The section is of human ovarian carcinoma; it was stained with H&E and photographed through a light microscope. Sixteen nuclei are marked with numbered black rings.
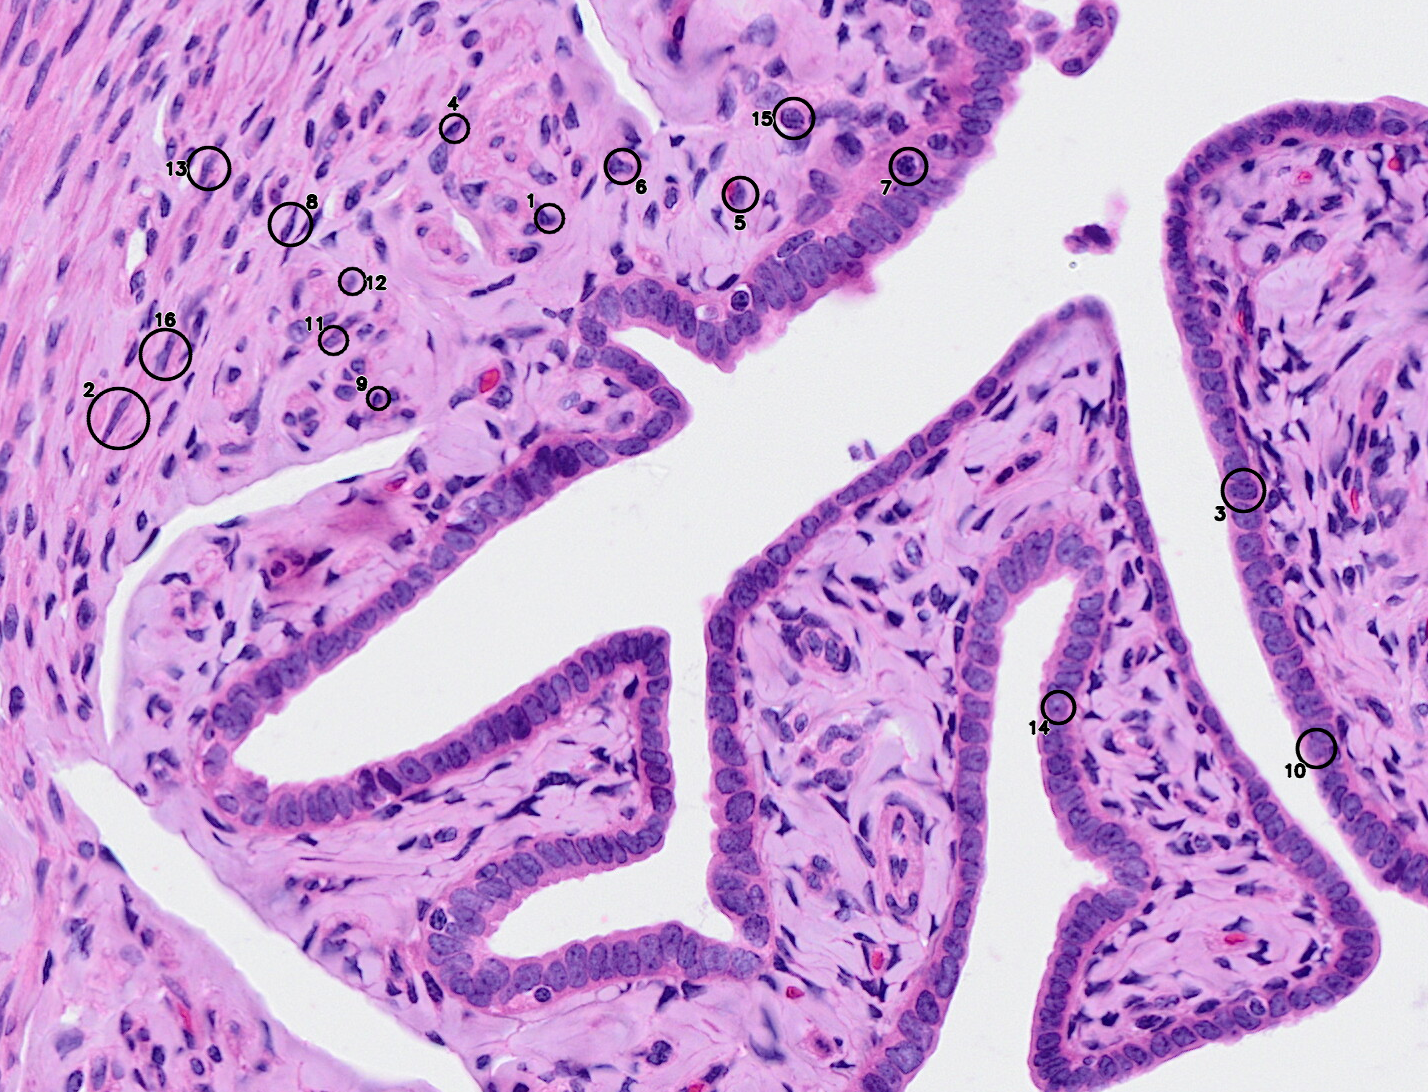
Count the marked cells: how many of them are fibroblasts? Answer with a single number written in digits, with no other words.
1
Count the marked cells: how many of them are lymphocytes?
2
